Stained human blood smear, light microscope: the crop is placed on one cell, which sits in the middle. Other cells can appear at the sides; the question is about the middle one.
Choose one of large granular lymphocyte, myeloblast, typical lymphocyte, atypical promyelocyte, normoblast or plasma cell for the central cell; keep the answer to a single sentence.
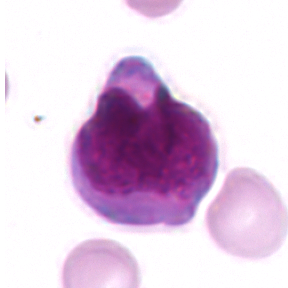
In this smear crop, the middle cell is an atypical promyelocyte.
